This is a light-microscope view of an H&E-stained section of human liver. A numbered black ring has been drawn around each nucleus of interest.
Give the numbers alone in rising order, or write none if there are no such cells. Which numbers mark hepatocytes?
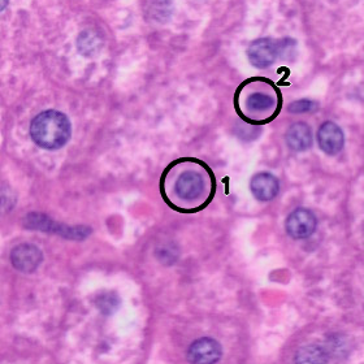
1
